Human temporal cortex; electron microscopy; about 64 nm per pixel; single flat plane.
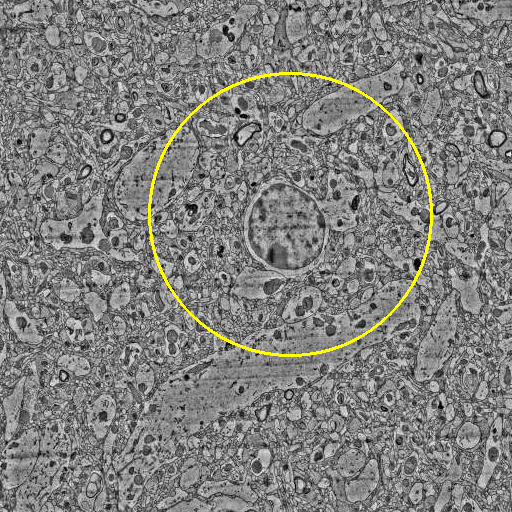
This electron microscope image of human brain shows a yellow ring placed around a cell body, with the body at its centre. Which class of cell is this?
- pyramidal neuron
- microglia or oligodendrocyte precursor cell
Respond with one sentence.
The cell body at the ring's centre is a microglial cell or oligodendrocyte precursor cell.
